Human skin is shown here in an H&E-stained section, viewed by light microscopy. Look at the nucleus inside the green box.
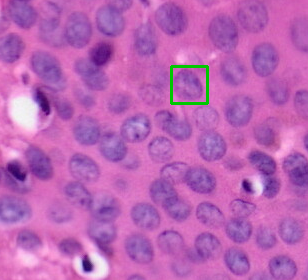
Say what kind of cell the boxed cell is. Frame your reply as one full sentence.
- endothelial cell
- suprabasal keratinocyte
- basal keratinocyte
Cytologically, the boxed cell is to be regarded as a suprabasal keratinocyte.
